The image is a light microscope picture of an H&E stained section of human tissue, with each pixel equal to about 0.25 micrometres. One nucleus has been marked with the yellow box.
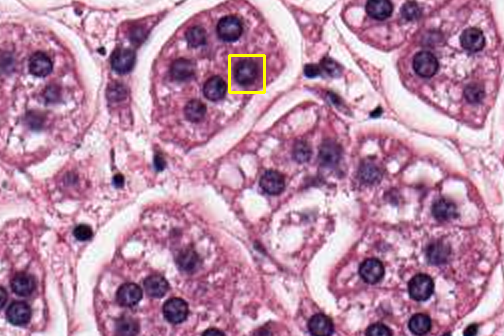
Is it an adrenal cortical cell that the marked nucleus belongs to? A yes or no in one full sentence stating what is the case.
Yes, in the picture the marked nucleus belongs to an adrenal cortical cell.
